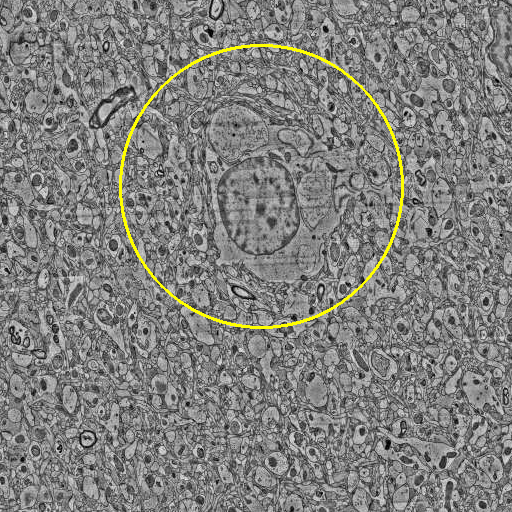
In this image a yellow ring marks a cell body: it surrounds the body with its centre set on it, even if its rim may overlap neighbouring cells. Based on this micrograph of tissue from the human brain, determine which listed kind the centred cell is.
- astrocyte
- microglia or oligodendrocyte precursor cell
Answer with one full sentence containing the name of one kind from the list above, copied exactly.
It is an astrocyte whose body the yellow ring encloses at its centre.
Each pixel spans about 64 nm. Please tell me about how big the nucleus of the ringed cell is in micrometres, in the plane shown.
The ringed cell's nucleus is about 6 micrometres long and 5 micrometres wide in this plane.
